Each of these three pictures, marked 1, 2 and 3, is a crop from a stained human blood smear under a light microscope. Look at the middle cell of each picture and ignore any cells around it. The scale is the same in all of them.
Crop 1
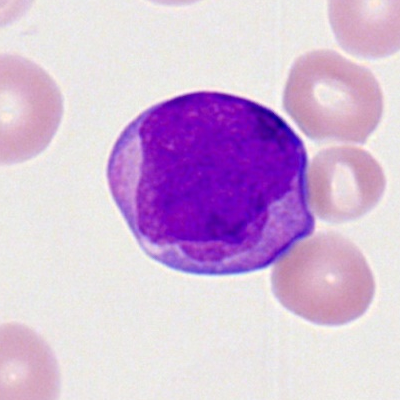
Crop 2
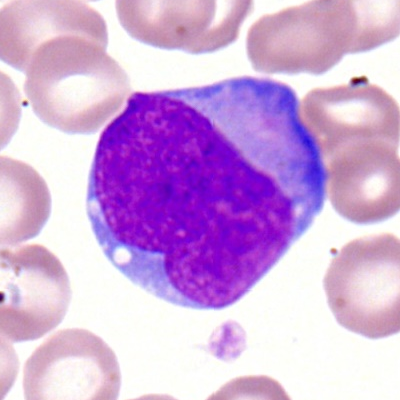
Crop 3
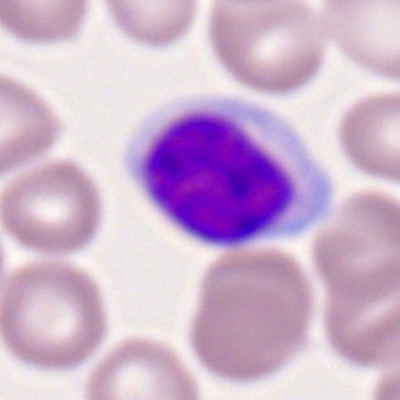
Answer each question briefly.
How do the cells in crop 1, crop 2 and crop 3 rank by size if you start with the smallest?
3, 1, 2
